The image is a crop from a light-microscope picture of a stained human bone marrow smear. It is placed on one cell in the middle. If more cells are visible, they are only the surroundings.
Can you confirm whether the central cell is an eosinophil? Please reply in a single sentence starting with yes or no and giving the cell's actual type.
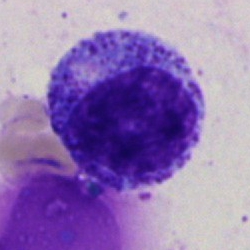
No, the cell at the centre is identified as a myelocyte, not as an eosinophil.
